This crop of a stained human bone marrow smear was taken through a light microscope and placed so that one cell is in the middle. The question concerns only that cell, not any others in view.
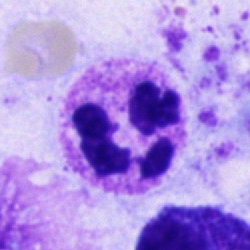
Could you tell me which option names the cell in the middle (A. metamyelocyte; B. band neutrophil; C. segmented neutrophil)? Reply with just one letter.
C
